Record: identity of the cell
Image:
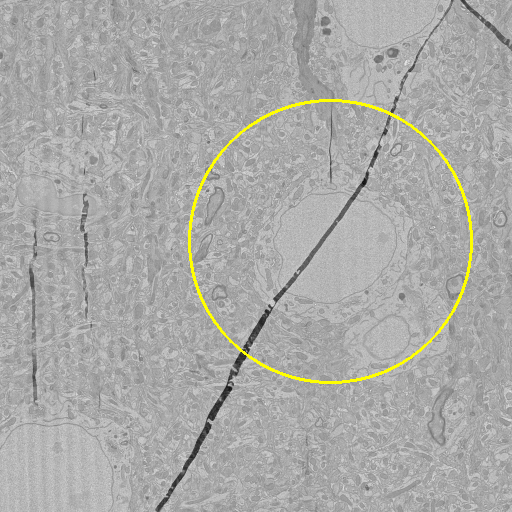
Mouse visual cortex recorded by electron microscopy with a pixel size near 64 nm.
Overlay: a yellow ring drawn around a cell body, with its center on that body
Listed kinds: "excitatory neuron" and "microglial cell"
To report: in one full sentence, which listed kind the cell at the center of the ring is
In the image, the cell body at the ring's center belongs to an excitatory neuron.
